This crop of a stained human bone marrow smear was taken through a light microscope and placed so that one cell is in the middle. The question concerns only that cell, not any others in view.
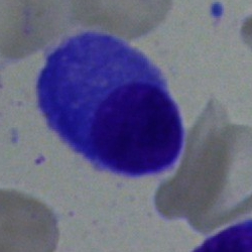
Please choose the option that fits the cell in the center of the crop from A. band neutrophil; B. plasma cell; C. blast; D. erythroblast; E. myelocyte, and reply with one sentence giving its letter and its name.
The central cell is a plasma cell, which makes option B the right answer.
